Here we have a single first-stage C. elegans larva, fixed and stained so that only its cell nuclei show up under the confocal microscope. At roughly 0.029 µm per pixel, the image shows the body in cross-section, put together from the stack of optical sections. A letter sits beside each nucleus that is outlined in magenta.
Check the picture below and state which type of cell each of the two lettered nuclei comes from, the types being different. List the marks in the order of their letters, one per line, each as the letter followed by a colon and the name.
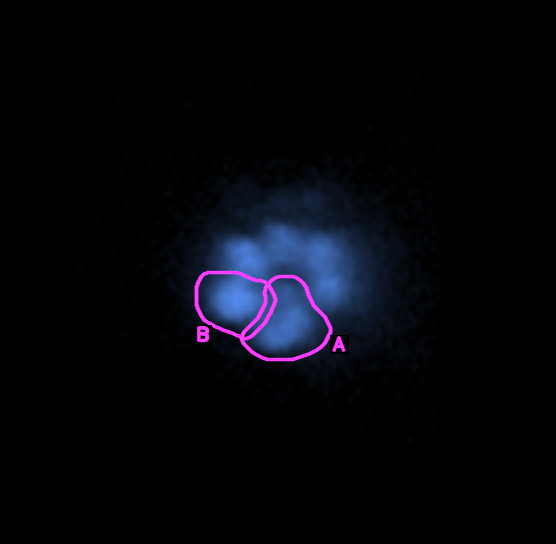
A: enteric muscle cell
B: neuron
